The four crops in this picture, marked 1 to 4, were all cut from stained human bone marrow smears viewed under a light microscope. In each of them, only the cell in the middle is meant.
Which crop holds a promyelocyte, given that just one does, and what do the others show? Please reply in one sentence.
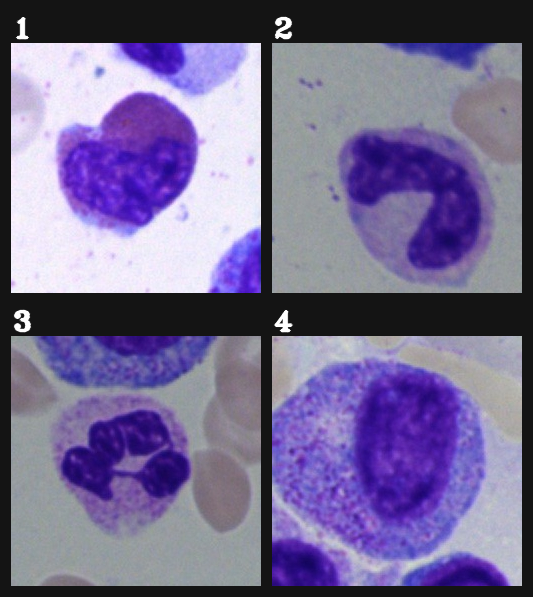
The labels are: crop 4 is a promyelocyte, and crop 1 is an eosinophil, crop 2 is a band neutrophil and crop 3 is a segmented neutrophil.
